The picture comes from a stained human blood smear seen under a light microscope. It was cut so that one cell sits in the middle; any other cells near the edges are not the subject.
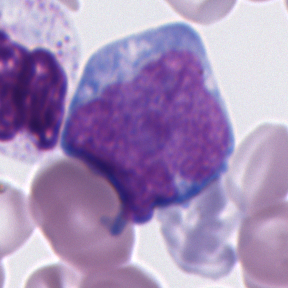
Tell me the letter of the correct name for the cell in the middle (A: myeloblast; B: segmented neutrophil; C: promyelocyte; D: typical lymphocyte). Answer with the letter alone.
A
